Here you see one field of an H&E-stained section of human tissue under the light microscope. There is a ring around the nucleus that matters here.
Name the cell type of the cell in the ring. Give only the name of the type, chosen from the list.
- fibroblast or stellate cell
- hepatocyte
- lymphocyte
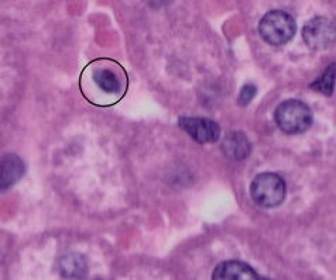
lymphocyte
